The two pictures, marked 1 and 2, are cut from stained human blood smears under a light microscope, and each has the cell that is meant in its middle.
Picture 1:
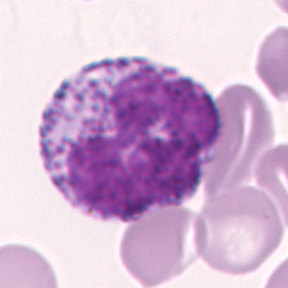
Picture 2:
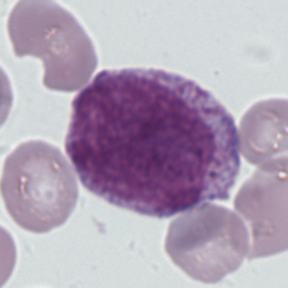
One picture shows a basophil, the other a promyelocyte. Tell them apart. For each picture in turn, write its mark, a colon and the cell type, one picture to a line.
1: basophil
2: promyelocyte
